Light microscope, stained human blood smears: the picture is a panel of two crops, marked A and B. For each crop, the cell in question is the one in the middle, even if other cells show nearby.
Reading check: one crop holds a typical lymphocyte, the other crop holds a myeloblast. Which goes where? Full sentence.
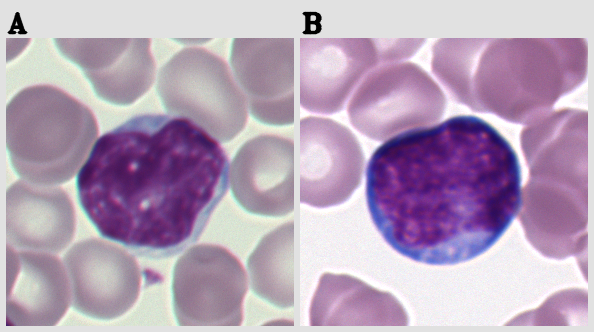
The middle cell in crop A is a typical lymphocyte; the middle cell in crop B is a myeloblast.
